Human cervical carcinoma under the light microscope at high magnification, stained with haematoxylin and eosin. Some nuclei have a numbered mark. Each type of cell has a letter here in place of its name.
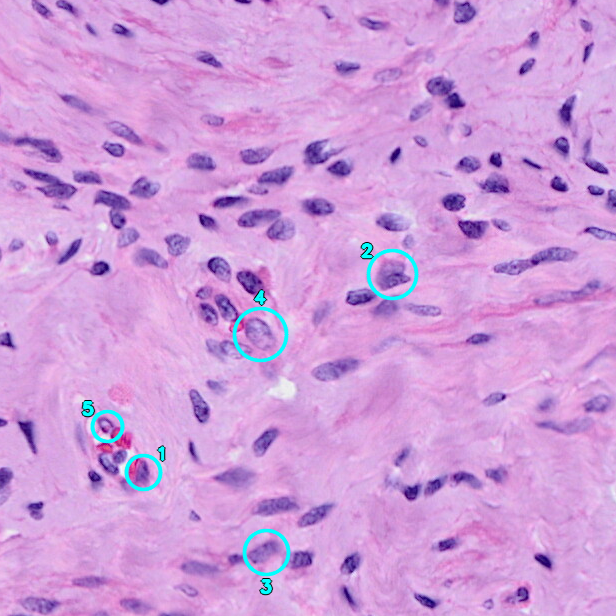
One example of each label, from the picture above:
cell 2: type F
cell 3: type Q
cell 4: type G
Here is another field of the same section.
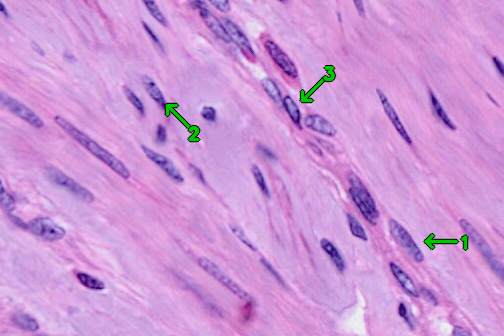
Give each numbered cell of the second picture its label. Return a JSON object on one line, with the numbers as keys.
{"1": "type Q", "2": "type F", "3": "type G"}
